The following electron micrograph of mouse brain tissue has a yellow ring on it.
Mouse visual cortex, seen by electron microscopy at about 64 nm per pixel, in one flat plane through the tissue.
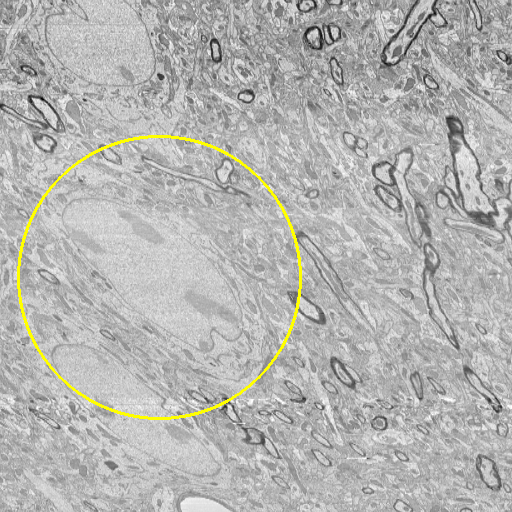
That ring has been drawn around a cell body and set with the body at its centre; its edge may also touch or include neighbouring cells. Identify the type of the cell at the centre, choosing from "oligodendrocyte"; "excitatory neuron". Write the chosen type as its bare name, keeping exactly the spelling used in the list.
excitatory neuron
